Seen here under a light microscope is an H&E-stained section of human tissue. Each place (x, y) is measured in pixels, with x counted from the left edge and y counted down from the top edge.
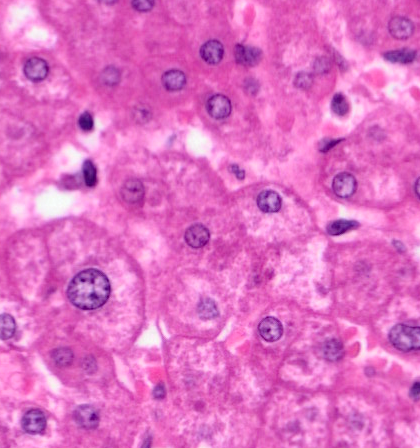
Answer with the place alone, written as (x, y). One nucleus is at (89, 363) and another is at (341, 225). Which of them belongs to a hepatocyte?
(89, 363)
